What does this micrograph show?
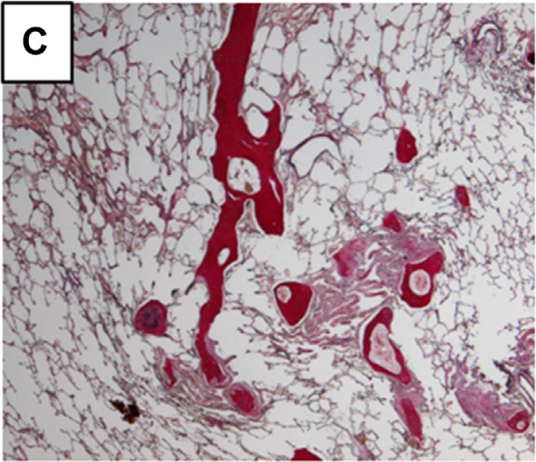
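This is lung tissue at low power with bone formed inside the alveolar spaces. Deep red, solid bony bars and rounded fragments, some enclosing pale central spaces, sit within a fine network of thin alveolar walls. The bony pieces are surrounded by a little paler, fibrous tissue, while most of the lung around them remains airy.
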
